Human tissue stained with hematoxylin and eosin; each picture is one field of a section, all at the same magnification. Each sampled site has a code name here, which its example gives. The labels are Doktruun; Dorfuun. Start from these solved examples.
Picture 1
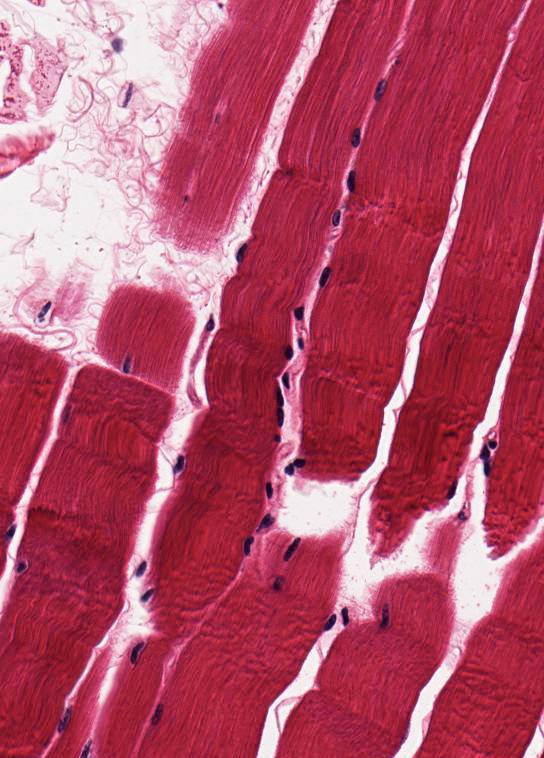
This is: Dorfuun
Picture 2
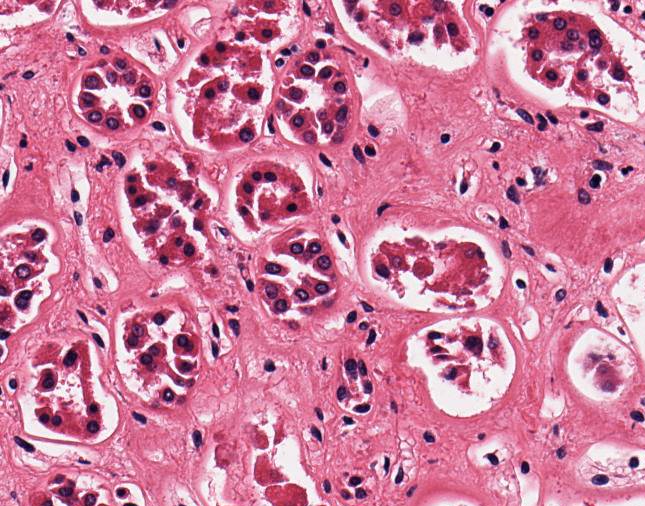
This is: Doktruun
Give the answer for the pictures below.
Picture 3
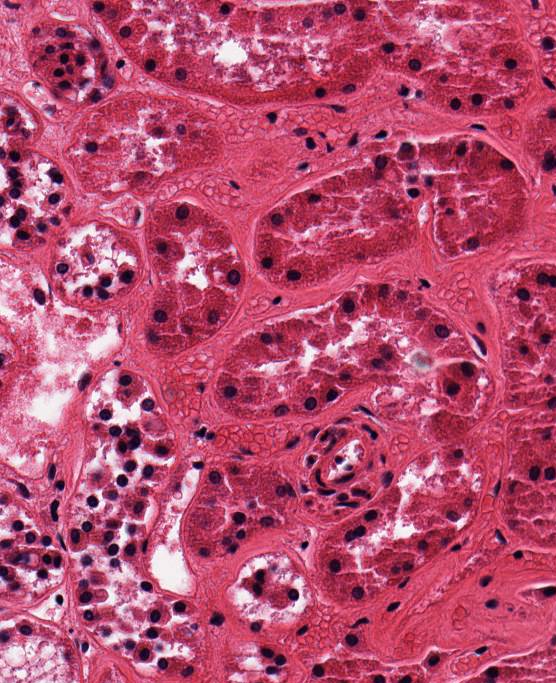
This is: Doktruun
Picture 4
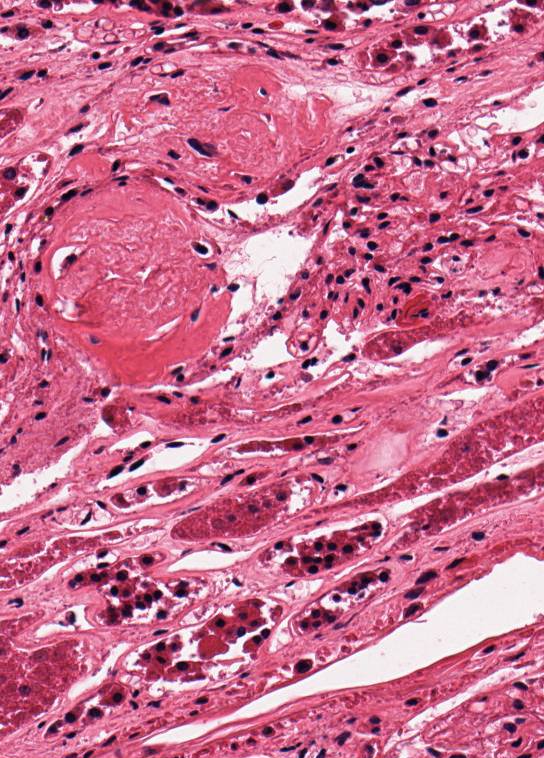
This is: Doktruun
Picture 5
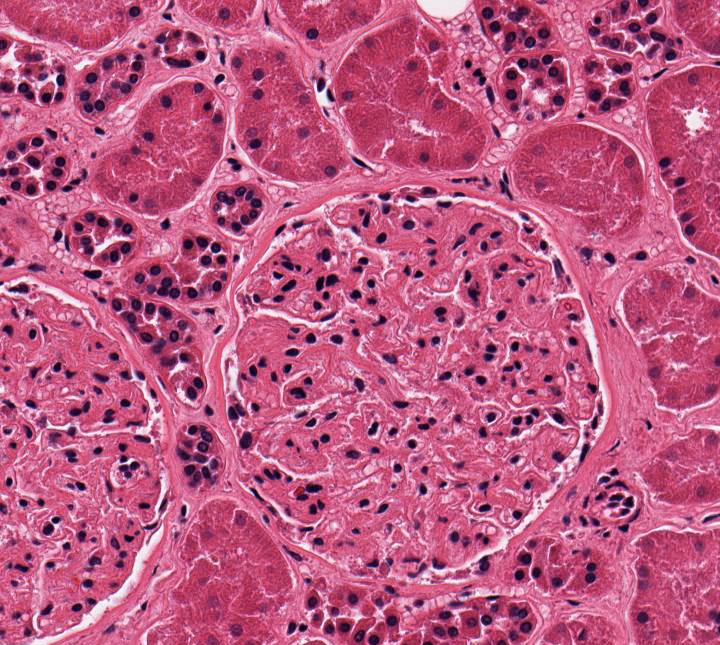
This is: Doktruun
